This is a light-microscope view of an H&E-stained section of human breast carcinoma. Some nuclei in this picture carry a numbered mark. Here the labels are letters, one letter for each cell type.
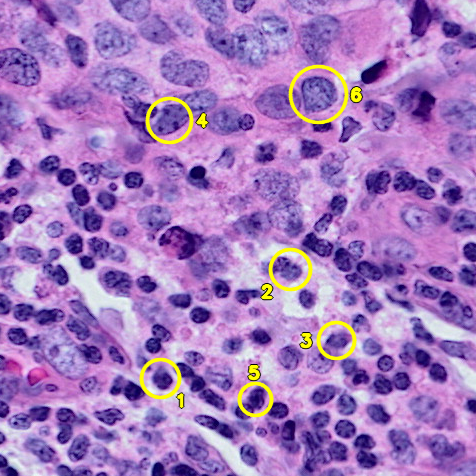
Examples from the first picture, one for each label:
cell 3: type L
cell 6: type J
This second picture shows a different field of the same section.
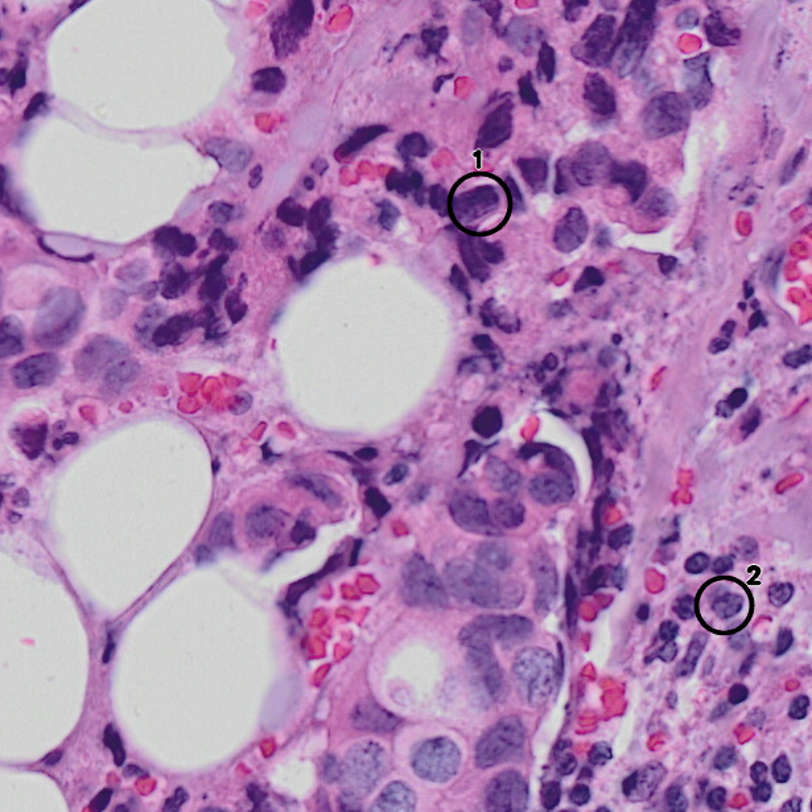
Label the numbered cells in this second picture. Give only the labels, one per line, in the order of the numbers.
type J
type L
